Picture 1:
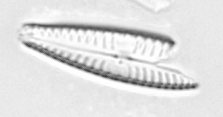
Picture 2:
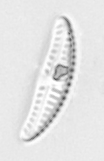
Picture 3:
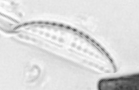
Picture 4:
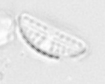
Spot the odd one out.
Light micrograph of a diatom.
Picture 1 (Gomphonema among Amphora).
